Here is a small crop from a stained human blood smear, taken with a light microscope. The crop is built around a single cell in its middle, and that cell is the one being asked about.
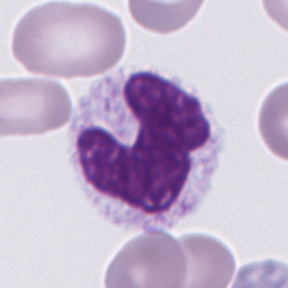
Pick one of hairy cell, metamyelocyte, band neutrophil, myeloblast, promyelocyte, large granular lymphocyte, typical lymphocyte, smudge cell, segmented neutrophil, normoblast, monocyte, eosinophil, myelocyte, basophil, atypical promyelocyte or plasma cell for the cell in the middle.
segmented neutrophil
